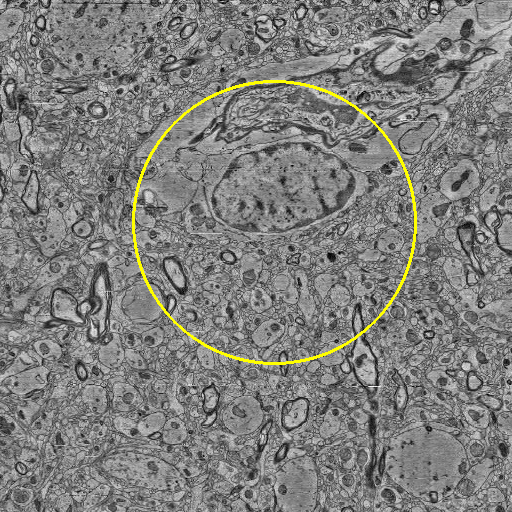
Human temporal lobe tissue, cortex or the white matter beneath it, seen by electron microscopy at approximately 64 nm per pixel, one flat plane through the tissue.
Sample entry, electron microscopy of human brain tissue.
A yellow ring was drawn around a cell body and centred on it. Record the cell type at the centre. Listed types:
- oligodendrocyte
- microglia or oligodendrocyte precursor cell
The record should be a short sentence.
The cell at the ring's centre is a microglial cell or oligodendrocyte precursor cell.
